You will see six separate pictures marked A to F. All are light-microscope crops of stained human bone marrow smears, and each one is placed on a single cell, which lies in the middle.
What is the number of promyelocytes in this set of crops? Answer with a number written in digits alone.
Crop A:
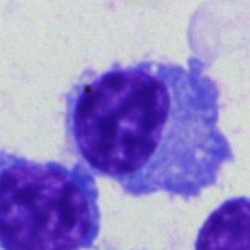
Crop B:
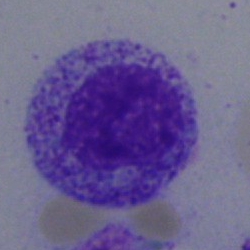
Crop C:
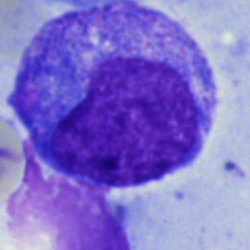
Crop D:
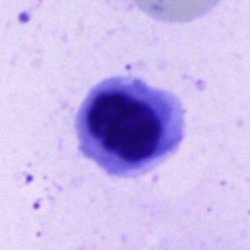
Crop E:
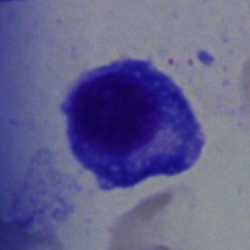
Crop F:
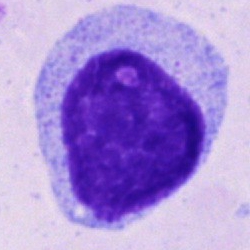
2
